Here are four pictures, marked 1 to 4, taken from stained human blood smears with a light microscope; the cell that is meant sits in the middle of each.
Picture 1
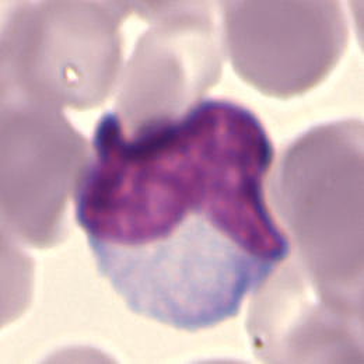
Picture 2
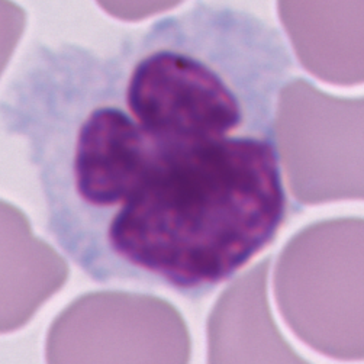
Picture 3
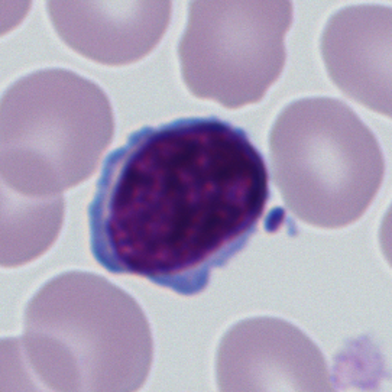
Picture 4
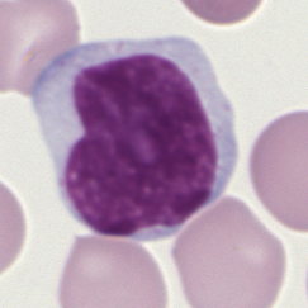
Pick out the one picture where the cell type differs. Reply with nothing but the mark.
2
